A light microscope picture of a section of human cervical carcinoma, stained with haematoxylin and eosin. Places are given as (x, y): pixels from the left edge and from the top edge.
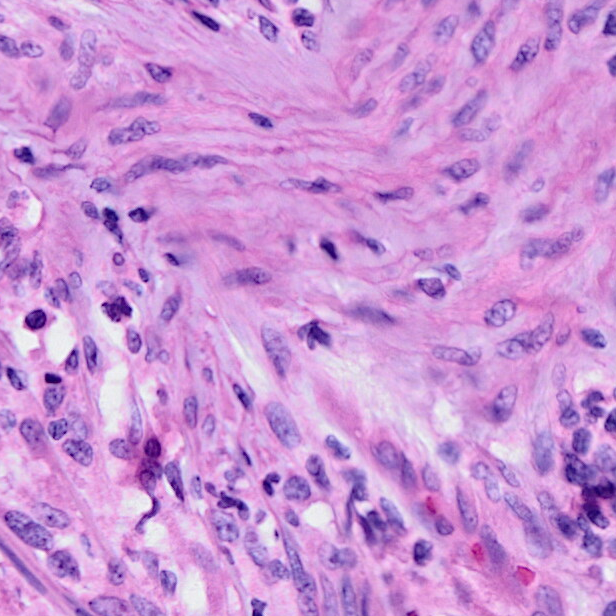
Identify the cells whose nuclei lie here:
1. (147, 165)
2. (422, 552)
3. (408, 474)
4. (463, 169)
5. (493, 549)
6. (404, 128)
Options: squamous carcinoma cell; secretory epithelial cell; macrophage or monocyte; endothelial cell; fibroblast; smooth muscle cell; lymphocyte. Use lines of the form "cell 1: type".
cell 1: smooth muscle cell
cell 2: lymphocyte
cell 3: endothelial cell
cell 4: smooth muscle cell
cell 5: endothelial cell
cell 6: smooth muscle cell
